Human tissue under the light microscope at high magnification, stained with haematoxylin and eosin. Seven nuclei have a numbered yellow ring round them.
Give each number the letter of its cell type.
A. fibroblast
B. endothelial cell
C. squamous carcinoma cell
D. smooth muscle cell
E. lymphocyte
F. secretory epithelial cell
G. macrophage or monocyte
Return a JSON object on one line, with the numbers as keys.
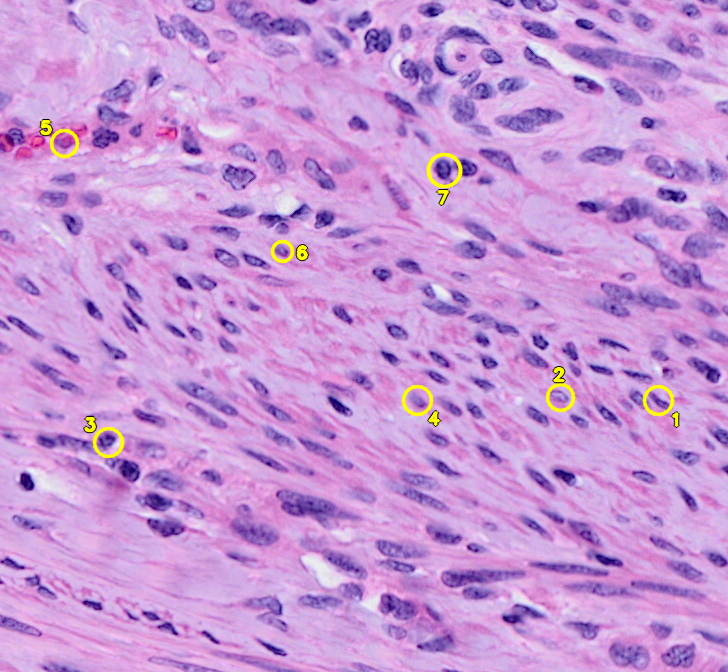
{"1": "D", "2": "D", "3": "E", "4": "D", "5": "B", "6": "D", "7": "E"}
